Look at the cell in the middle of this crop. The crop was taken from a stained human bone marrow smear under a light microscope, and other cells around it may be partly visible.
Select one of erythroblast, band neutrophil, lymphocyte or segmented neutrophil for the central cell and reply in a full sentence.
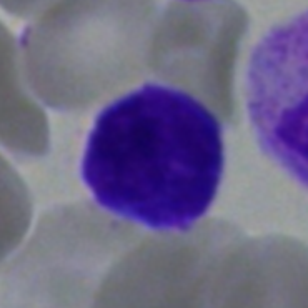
In the middle of this smear crop is a lymphocyte.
